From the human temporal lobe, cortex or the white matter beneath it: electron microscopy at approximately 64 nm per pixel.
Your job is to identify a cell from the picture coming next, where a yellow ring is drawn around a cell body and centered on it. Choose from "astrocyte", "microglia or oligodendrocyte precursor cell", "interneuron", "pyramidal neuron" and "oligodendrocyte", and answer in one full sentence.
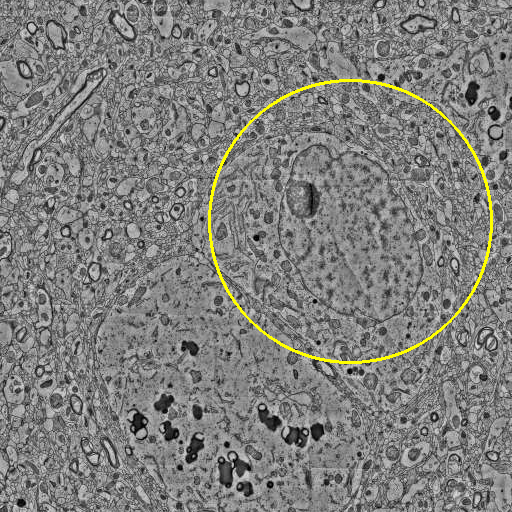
Centered in the yellow ring of the picture is the body of an interneuron.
